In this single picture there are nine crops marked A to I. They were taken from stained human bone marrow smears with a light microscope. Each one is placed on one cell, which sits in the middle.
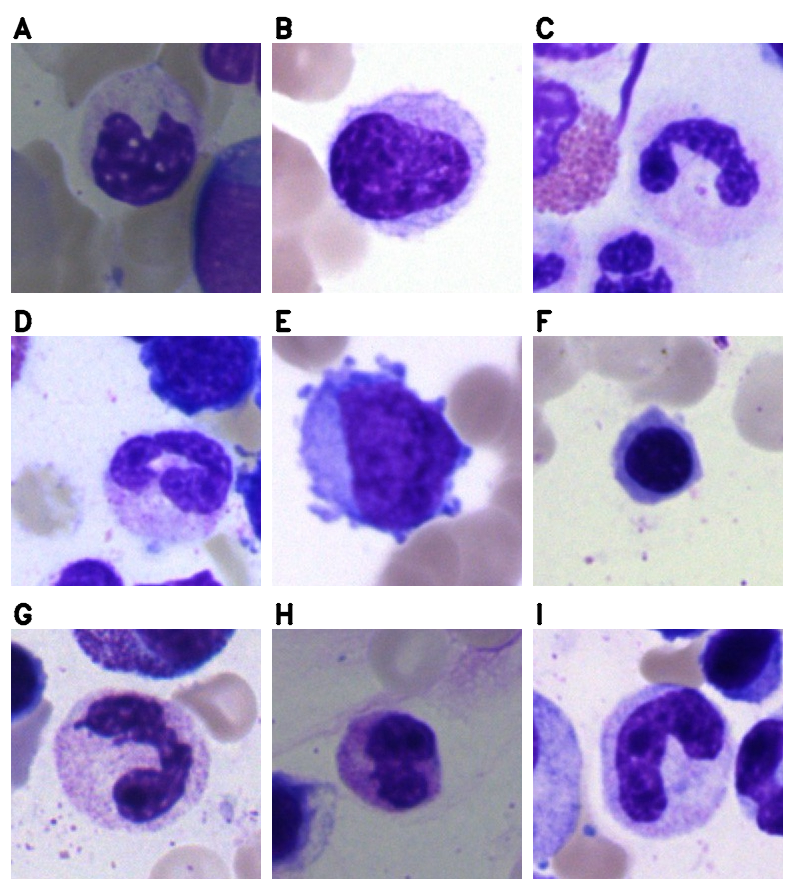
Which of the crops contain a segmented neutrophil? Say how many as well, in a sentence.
The cells at the centre of crops C, D, G and H are segmented neutrophils, four crops in all.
